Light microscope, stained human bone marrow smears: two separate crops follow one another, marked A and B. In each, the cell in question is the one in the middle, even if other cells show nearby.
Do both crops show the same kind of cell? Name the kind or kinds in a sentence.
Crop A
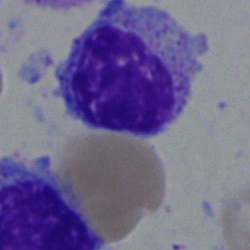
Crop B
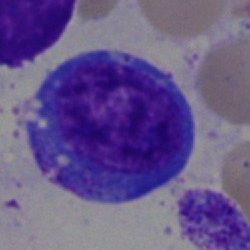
No, the middle of crop A holds a myelocyte, and the middle of crop B holds a blast.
